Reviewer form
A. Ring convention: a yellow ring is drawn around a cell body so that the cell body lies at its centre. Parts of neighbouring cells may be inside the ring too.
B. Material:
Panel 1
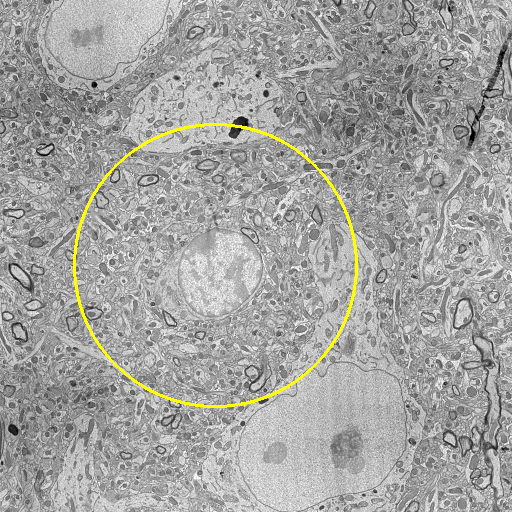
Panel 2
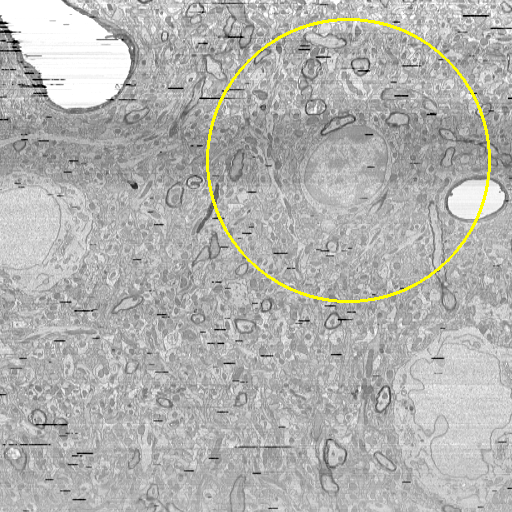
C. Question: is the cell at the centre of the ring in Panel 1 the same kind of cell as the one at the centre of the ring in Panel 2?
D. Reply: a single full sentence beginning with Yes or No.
Yes, the cells in Panel 1 and Panel 2 are the same kind of cell.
